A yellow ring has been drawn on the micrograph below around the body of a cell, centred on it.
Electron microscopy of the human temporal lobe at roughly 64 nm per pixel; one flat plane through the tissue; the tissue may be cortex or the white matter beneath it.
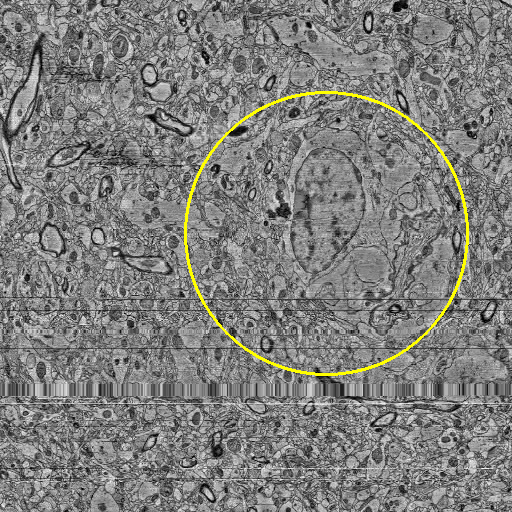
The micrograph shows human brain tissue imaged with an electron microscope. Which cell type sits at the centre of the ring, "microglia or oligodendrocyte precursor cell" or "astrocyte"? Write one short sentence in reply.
The cell sitting at the centre of the ring is a microglial cell or oligodendrocyte precursor cell.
